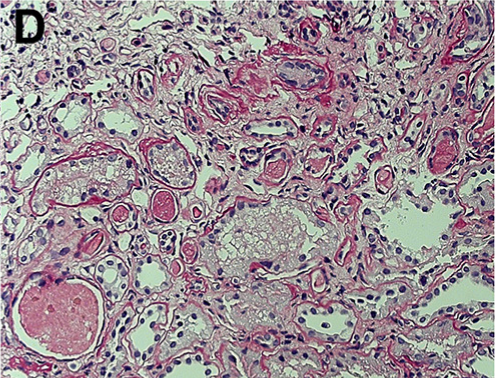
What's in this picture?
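Kidney cortex shows atrophic tubules with thickened magenta basement membranes set in a widened, loose interstitium with scattered mononuclear cells. Several tubules are filled with homogeneous pink cast material resembling thyroid colloid, while other tubular lumens are dilated and contain pale flaky material.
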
